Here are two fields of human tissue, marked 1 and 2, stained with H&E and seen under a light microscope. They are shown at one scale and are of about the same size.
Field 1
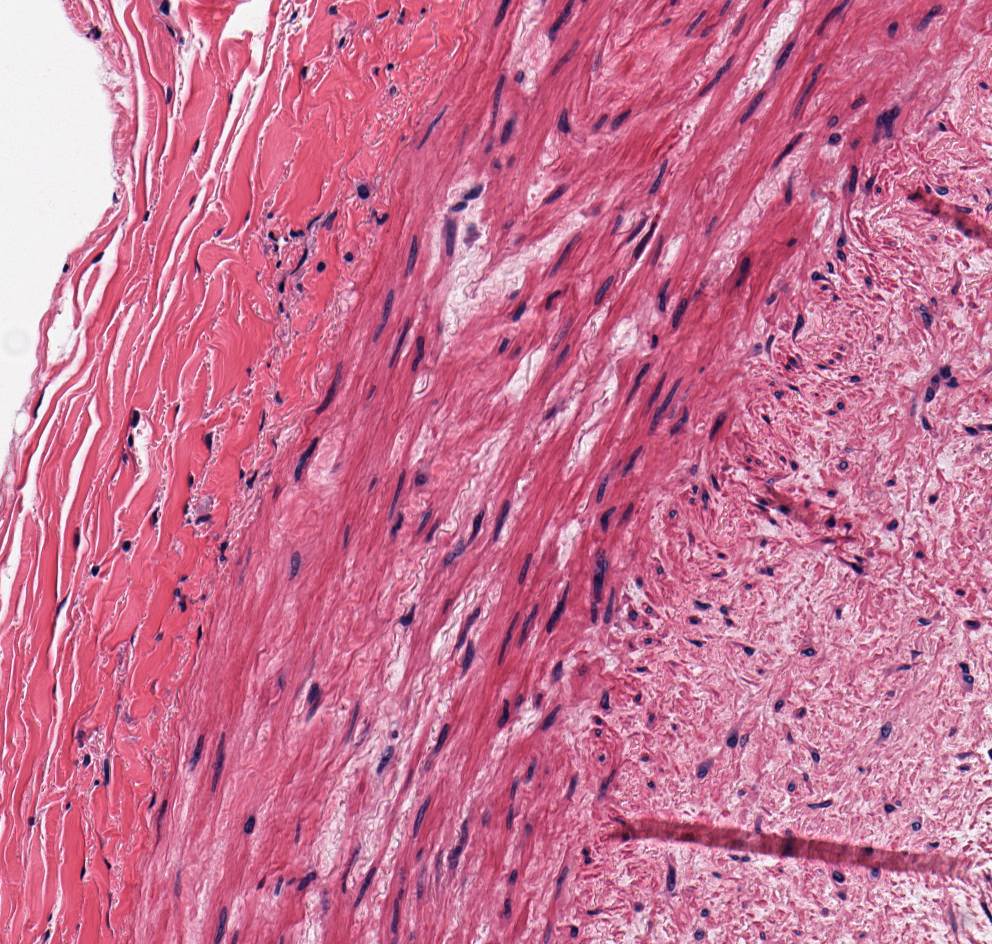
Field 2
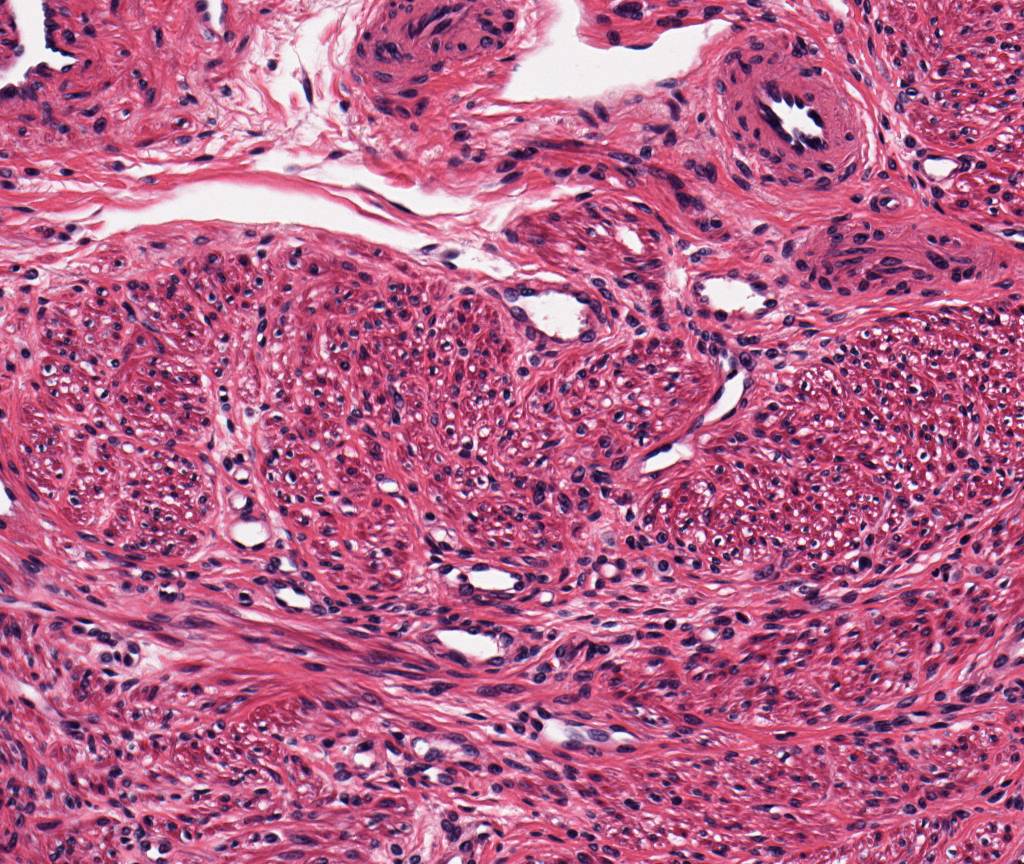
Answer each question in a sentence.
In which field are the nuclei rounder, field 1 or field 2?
The nuclei are rounder in field 2.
